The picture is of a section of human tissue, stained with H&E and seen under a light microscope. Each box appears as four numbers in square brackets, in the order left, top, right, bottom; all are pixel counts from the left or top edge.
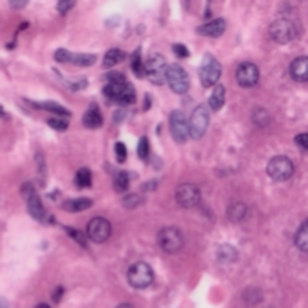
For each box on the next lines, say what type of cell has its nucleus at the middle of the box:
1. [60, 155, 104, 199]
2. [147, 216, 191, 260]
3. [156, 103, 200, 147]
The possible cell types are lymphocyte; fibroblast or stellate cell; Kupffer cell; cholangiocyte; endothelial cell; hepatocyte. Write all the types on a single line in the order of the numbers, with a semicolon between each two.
fibroblast or stellate cell; hepatocyte; cholangiocyte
